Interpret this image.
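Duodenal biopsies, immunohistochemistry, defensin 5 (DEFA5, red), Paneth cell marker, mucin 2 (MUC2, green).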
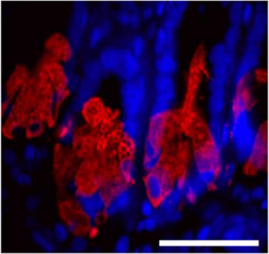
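The cells are plump and pyramidal, and their cytoplasm is packed with a coarse granular red pattern. Their nuclei, in blue, lie at the base of each cell, beneath the red-filled cytoplasm. Around them the rest of the crypt epithelium and the stroma show only blue nuclei, with no red.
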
